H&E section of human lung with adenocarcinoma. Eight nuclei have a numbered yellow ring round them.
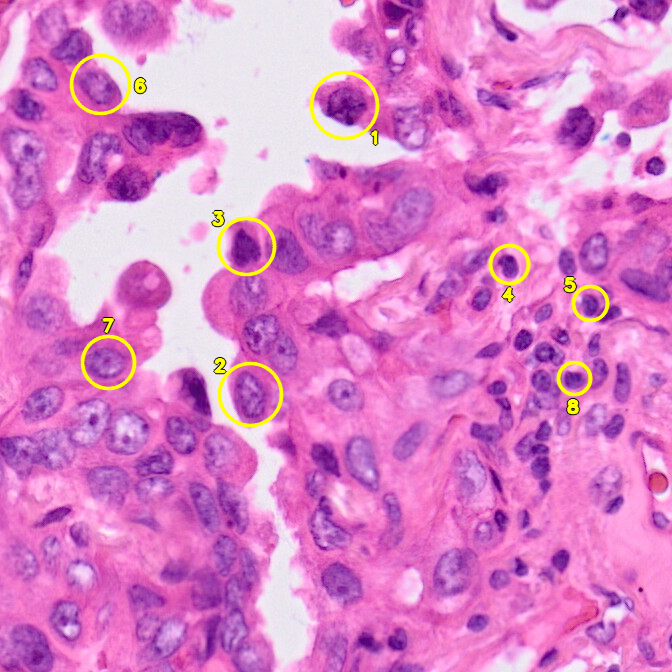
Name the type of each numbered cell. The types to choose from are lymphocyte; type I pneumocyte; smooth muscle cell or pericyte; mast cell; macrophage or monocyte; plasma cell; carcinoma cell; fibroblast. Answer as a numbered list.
1. carcinoma cell
2. carcinoma cell
3. carcinoma cell
4. lymphocyte
5. lymphocyte
6. carcinoma cell
7. carcinoma cell
8. lymphocyte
